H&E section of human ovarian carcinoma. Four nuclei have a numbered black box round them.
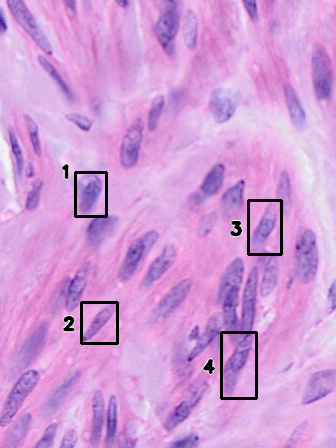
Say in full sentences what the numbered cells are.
Cell 1 is a fibroblast, cell 2 is a smooth muscle cell, cell 3 is a smooth muscle cell and cell 4 is a smooth muscle cell.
